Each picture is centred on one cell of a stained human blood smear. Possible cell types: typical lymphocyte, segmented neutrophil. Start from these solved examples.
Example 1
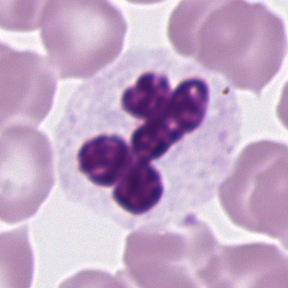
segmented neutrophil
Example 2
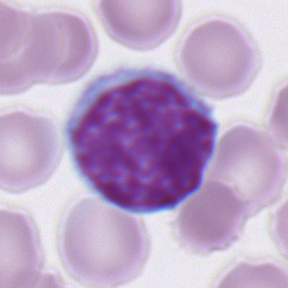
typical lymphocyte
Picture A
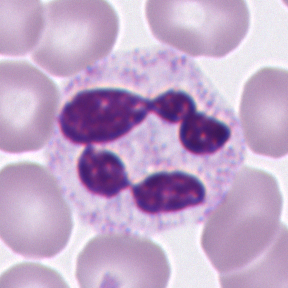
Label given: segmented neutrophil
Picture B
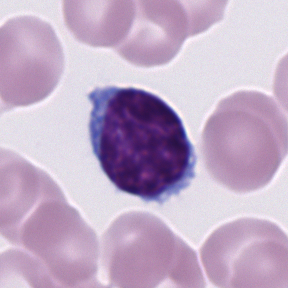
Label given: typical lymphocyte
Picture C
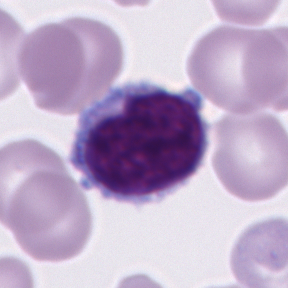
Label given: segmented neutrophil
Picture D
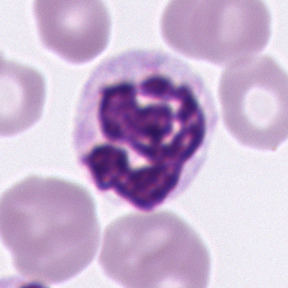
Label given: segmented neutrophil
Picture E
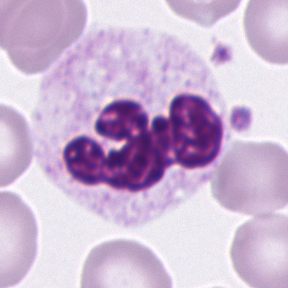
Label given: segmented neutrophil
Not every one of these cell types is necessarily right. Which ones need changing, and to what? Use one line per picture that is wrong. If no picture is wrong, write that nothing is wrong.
C should be typical lymphocyte, not segmented neutrophil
